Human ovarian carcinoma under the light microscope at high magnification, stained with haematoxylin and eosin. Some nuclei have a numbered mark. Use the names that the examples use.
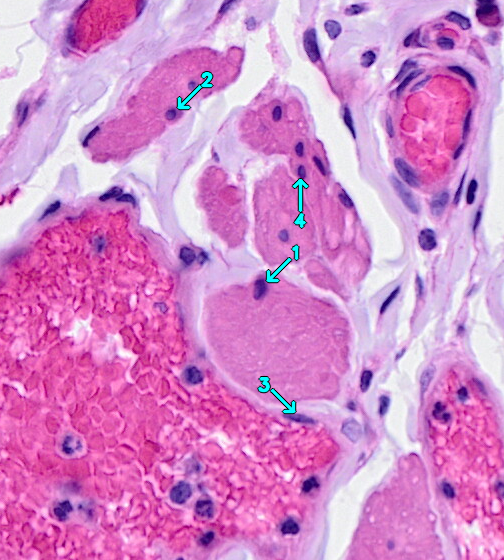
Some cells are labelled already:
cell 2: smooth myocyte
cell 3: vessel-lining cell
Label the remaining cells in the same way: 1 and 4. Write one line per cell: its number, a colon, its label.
1: smooth myocyte
4: smooth myocyte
